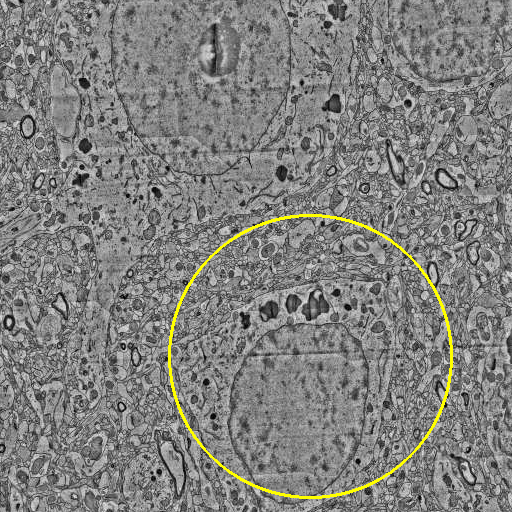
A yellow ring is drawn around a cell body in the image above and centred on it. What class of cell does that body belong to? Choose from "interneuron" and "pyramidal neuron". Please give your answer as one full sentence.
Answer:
The yellow ring above is centred on the cell body of an interneuron.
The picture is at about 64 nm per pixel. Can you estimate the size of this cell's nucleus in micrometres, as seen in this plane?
Approximately 12 x 9 micrometres in this plane.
